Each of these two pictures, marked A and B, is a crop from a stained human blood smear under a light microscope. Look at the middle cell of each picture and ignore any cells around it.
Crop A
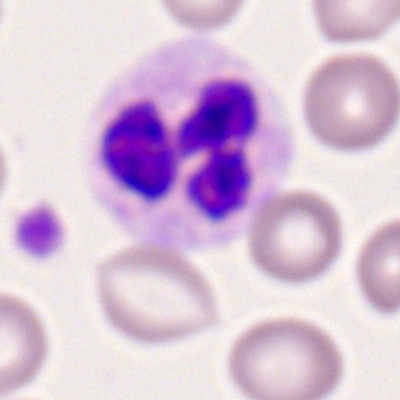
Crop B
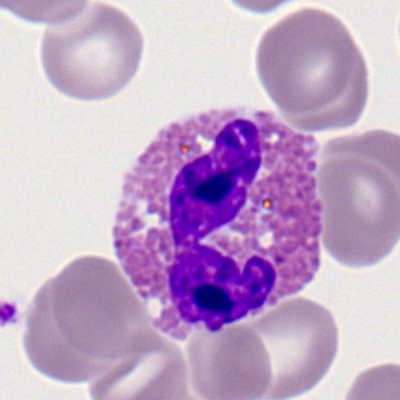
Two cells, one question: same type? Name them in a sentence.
No, the cell centred in crop A is a segmented neutrophil, and that centred in crop B is an eosinophil.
